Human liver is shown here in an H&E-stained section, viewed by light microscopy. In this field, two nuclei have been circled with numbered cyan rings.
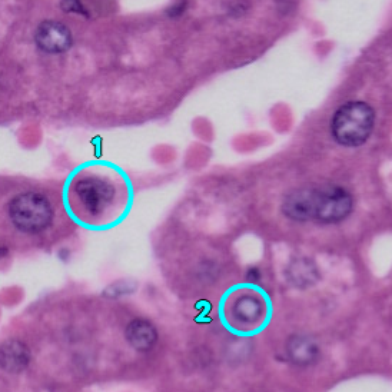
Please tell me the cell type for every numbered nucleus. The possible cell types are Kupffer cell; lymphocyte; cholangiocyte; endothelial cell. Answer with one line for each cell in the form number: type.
1: Kupffer cell
2: cholangiocyte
